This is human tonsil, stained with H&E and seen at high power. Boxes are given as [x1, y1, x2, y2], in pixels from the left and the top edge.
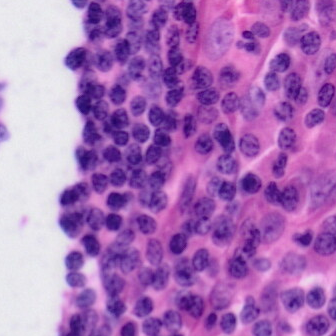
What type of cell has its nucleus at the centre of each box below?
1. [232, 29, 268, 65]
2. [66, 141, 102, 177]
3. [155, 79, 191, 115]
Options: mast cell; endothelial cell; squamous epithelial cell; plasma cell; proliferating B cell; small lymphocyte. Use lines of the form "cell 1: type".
cell 1: endothelial cell
cell 2: small lymphocyte
cell 3: small lymphocyte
